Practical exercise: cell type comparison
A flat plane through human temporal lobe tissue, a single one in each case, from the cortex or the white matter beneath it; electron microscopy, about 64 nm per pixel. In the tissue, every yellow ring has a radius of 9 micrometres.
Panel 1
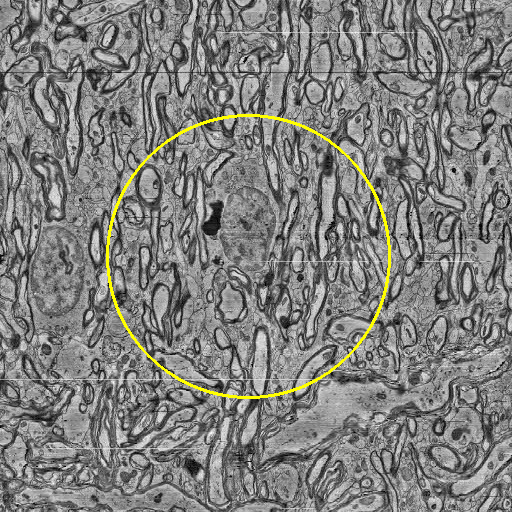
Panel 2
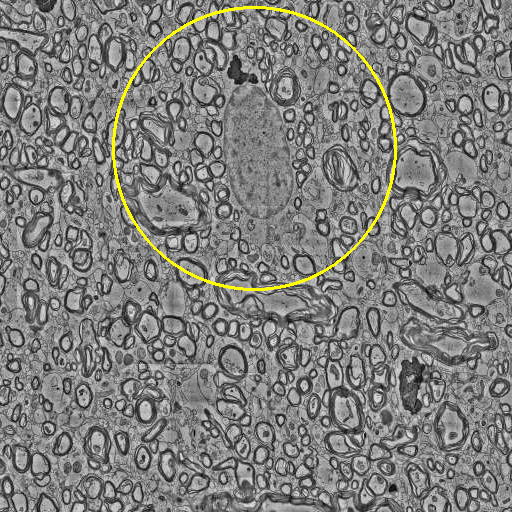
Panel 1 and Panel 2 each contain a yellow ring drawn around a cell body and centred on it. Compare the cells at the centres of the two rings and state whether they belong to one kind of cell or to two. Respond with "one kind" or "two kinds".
one kind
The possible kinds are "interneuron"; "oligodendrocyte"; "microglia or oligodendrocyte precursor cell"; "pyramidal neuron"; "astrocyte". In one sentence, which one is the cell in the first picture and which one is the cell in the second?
In both pictures the ring is centred on an oligodendrocyte.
